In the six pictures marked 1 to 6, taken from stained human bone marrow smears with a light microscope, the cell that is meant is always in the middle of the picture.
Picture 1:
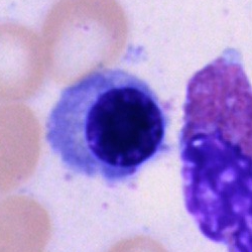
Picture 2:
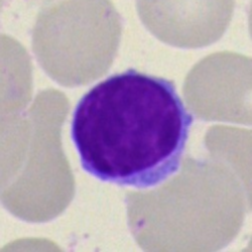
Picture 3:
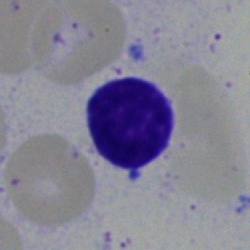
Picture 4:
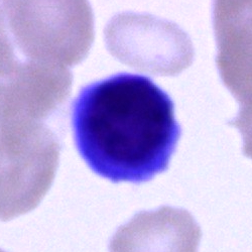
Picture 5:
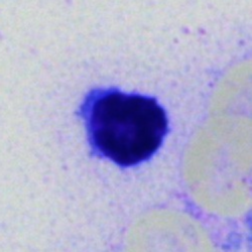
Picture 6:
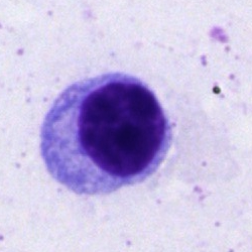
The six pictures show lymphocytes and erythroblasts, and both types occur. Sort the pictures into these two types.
1: erythroblast
2: lymphocyte
3: lymphocyte
4: erythroblast
5: lymphocyte
6: lymphocyte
